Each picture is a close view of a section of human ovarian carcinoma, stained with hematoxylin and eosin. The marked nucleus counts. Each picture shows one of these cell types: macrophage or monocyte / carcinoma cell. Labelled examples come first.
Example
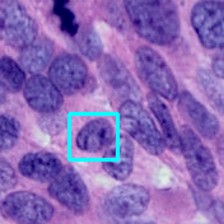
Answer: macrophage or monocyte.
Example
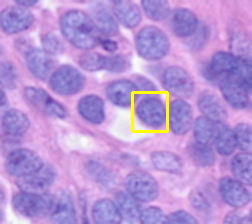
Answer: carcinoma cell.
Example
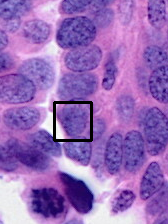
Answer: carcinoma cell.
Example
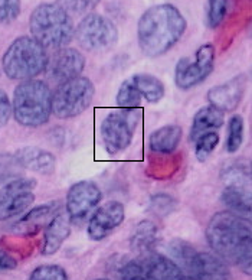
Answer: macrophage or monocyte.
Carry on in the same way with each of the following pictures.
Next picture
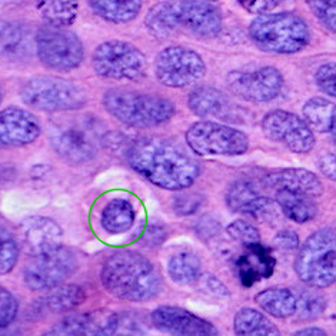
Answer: macrophage or monocyte.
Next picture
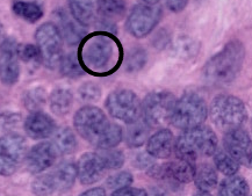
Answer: carcinoma cell.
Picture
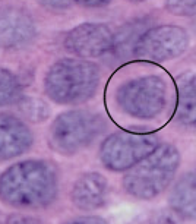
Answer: carcinoma cell.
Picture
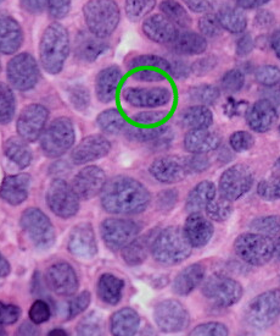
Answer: carcinoma cell.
